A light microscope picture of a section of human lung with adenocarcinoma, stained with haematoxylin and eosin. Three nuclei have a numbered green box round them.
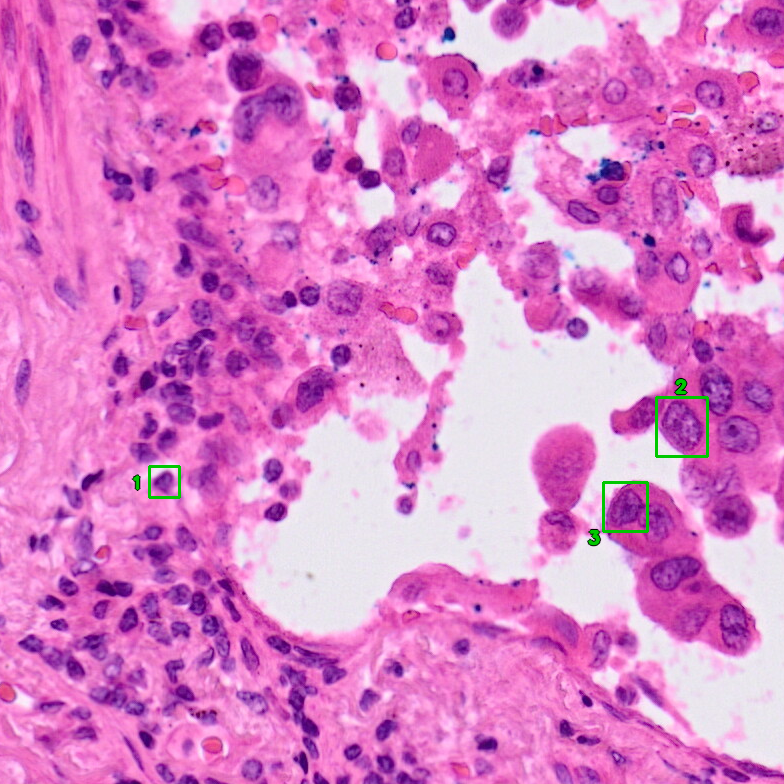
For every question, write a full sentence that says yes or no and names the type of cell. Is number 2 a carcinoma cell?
Yes, the cell whose number is 2 is a carcinoma cell.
